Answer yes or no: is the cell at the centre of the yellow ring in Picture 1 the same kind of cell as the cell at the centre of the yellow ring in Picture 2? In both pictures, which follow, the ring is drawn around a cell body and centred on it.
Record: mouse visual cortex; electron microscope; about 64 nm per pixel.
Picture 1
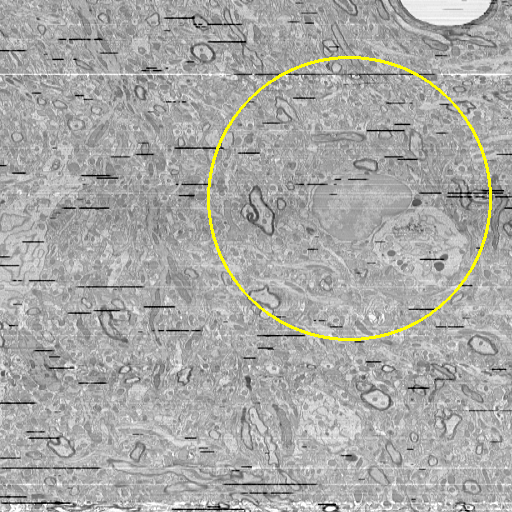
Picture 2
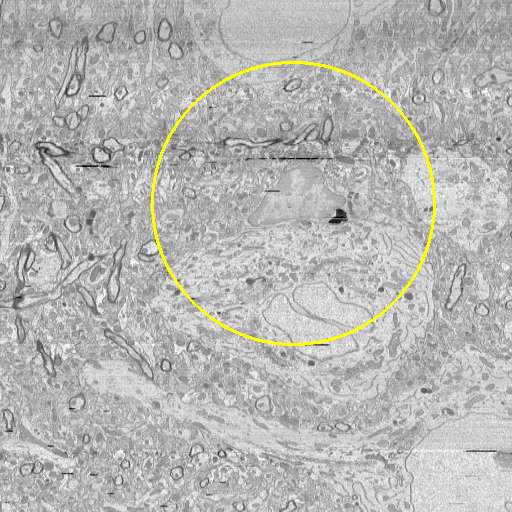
yes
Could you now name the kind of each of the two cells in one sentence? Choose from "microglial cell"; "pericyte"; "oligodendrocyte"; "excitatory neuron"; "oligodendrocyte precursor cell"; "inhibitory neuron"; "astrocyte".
Each cell, in the first picture and the second, is a microglial cell.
